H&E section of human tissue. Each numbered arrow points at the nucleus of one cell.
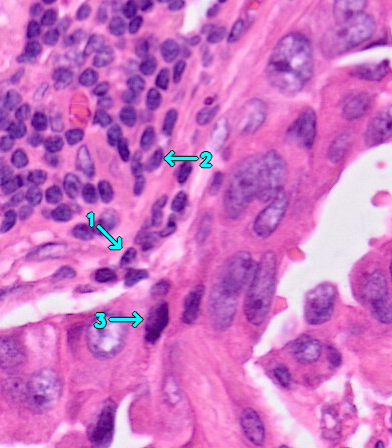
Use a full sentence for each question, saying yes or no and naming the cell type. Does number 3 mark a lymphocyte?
No, it's not a lymphocyte at number 3; that cell is a carcinoma cell.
